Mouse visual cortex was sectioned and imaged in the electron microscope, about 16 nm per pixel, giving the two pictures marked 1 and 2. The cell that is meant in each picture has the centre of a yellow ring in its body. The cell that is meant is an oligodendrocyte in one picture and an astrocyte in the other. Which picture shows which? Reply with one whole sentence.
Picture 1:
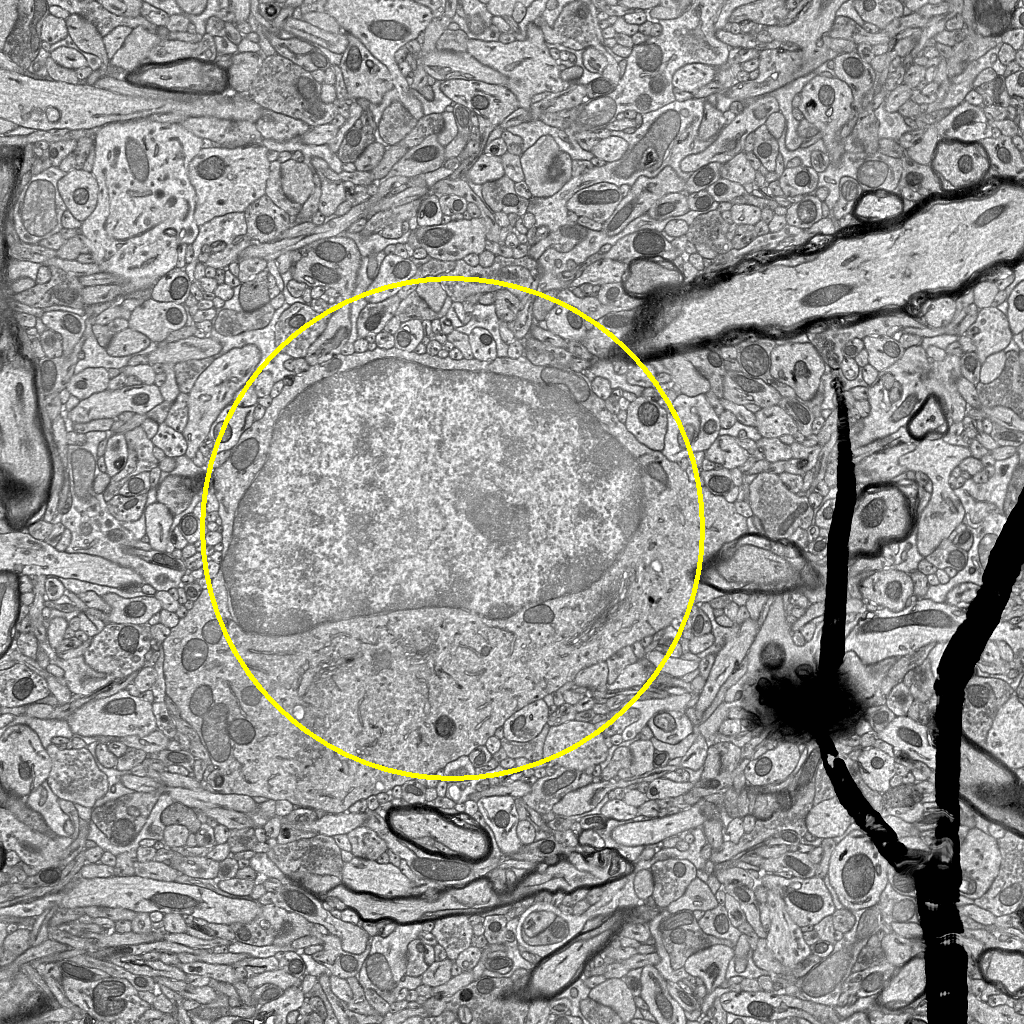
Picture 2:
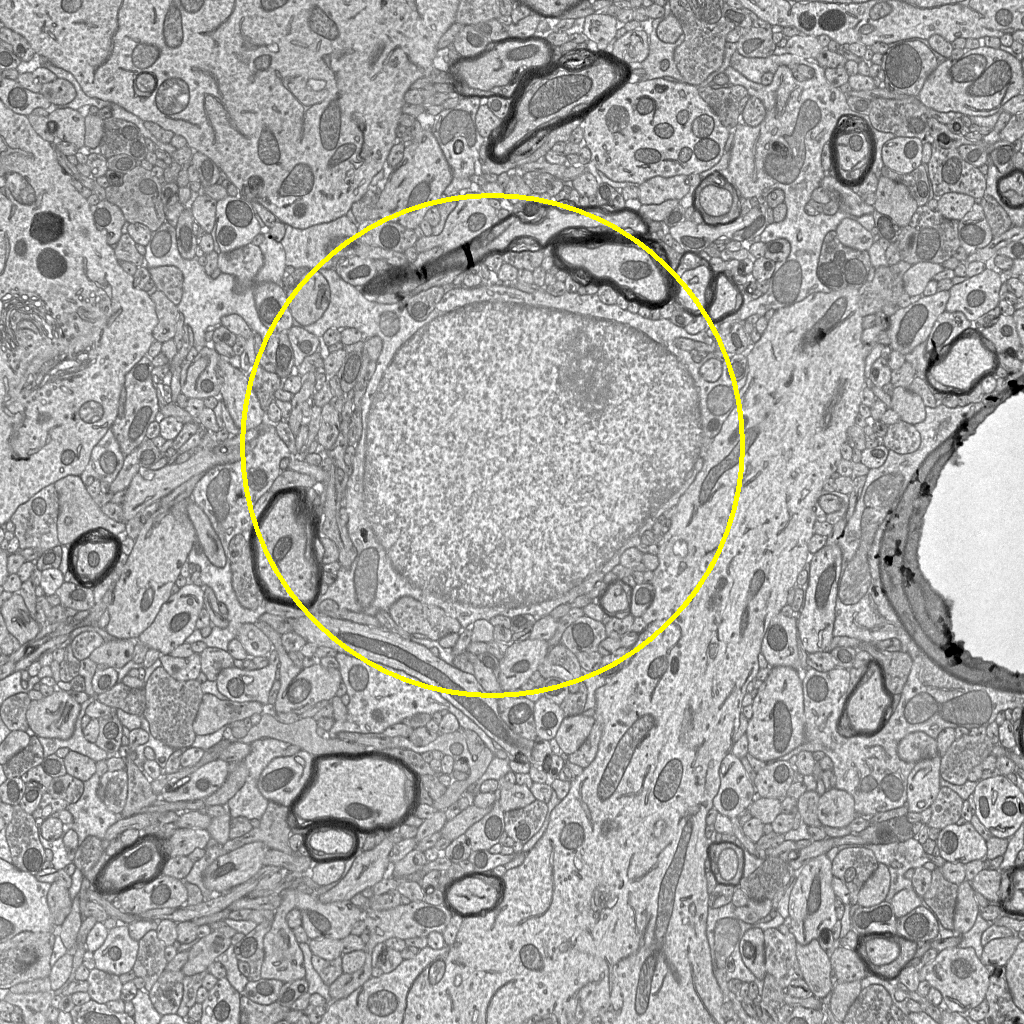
Picture 1 shows an oligodendrocyte and picture 2 shows an astrocyte.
